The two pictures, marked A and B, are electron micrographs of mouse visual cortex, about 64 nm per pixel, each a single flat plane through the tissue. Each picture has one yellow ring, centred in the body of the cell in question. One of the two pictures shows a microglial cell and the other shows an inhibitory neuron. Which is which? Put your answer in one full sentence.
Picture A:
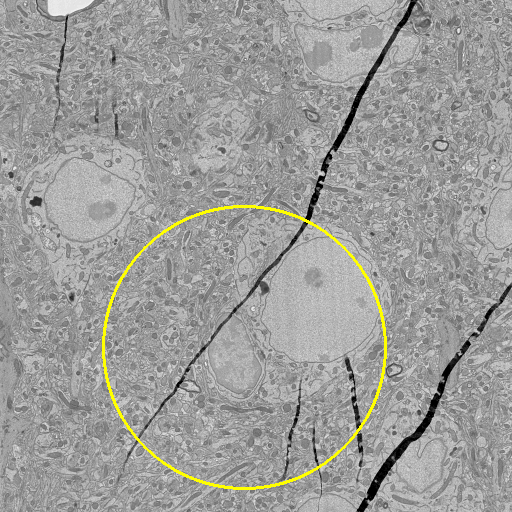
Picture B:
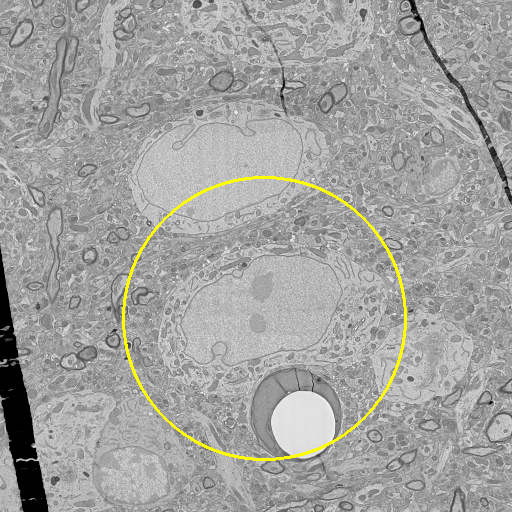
The cell in picture A is a microglial cell, and the one in picture B is an inhibitory neuron.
